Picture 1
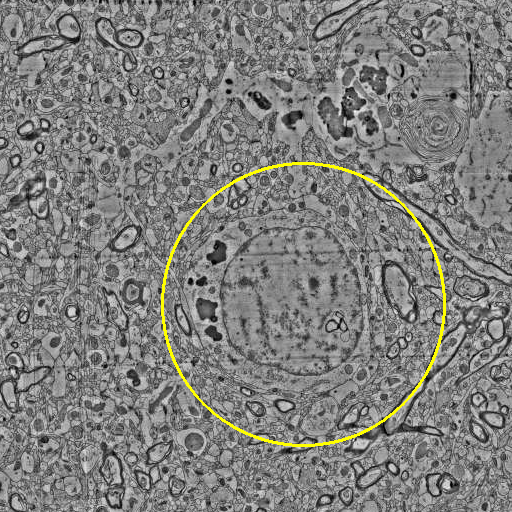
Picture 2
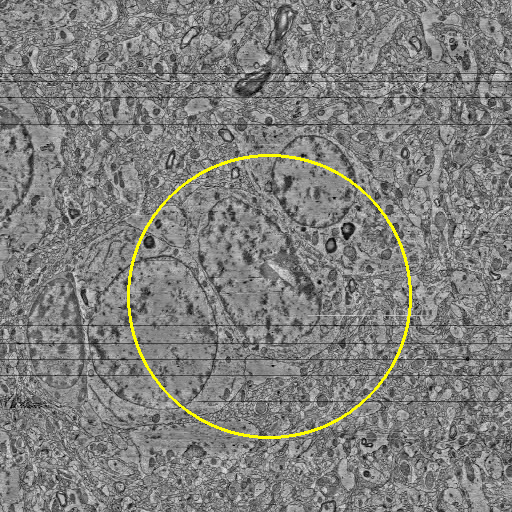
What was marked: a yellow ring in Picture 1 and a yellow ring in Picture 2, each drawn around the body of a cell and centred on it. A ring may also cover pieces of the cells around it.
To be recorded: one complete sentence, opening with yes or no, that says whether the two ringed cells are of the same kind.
Yes, the two ringed cells are of the same kind.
